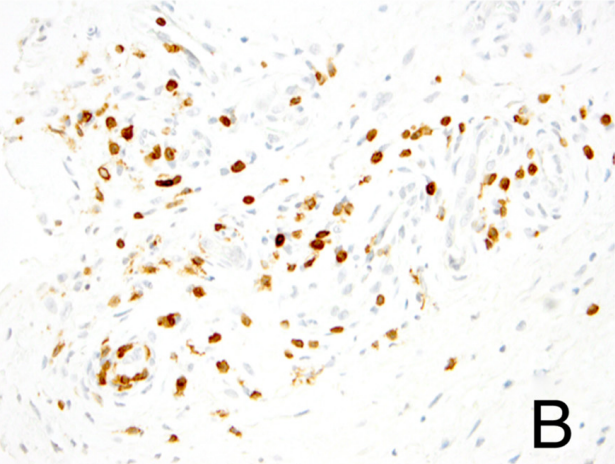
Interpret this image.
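Many small round cells with brown-stained membranes and cytoplasm crowd around small vessels, forming a band across the middle of the field and a cluster around a vessel at lower left. Others lie singly in the stroma. The stained cells are small, with round nuclei. The background stroma is loose and fibrillary, with unstained spindle cells bearing pale blue oval nuclei, and vessel walls with unstained concentric cells.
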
